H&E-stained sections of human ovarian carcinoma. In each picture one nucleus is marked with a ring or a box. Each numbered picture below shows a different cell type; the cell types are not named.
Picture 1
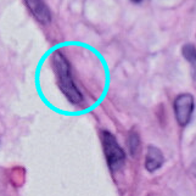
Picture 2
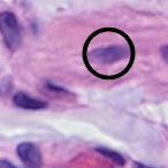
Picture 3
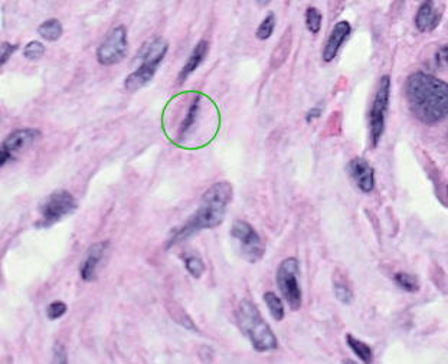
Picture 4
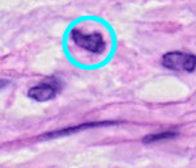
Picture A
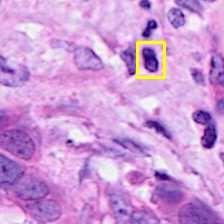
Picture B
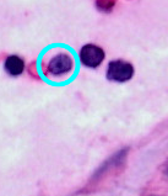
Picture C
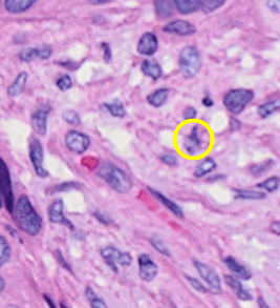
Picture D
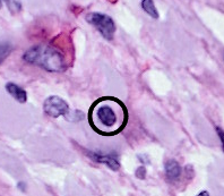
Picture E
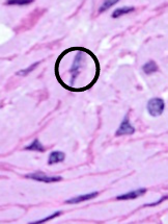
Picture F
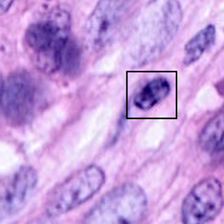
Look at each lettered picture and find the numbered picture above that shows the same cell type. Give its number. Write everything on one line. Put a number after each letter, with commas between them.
A 4, B 4, C 3, D 4, E 3, F 4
